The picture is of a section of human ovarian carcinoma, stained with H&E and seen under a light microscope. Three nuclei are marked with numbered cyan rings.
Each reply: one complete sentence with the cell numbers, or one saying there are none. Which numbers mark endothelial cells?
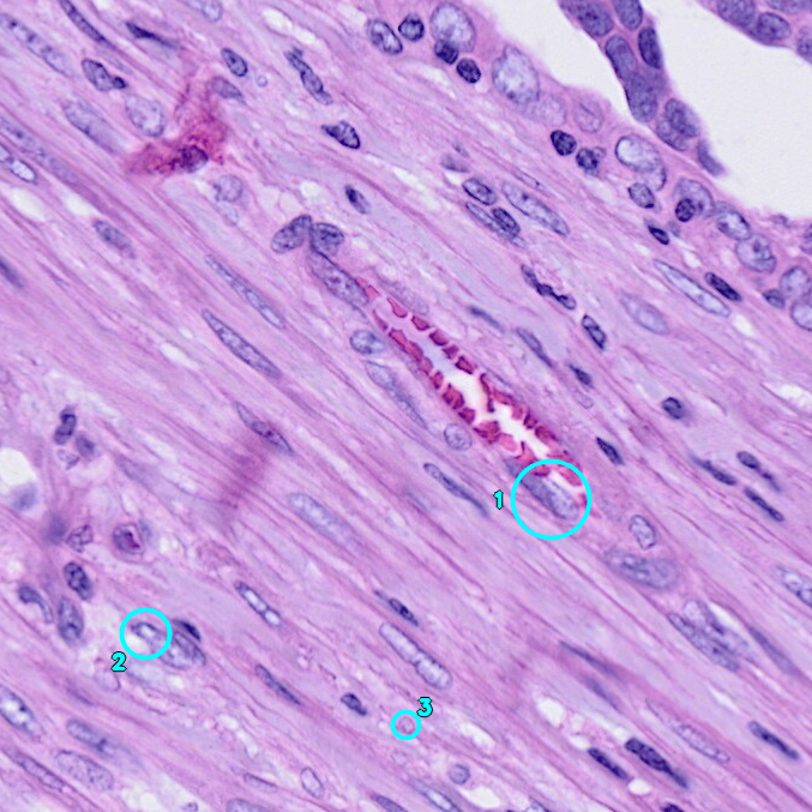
Only number 1 of the marked cells is an endothelial cell.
